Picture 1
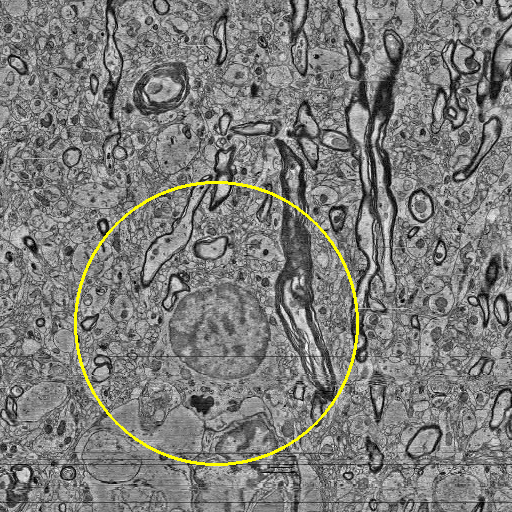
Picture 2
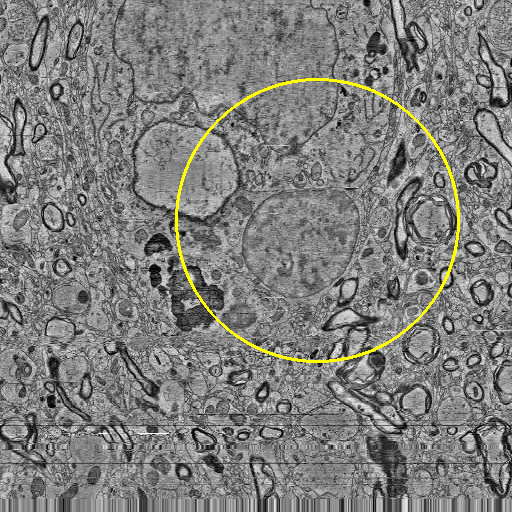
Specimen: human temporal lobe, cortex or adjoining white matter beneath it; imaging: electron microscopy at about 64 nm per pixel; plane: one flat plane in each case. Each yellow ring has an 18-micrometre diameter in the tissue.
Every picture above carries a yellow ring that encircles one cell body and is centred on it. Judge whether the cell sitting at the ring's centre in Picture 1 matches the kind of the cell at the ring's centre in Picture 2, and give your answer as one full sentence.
Yes, the cells centred in the rings of Pictures 1 and 2 belong to one kind.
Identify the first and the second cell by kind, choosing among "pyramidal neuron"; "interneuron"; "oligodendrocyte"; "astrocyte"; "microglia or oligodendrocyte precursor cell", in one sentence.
Both pictures show an oligodendrocyte at the centre of the ring.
